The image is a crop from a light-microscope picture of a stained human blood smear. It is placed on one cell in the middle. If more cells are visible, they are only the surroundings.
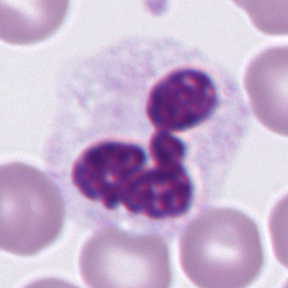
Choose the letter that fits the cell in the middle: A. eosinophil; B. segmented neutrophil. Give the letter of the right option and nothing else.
B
